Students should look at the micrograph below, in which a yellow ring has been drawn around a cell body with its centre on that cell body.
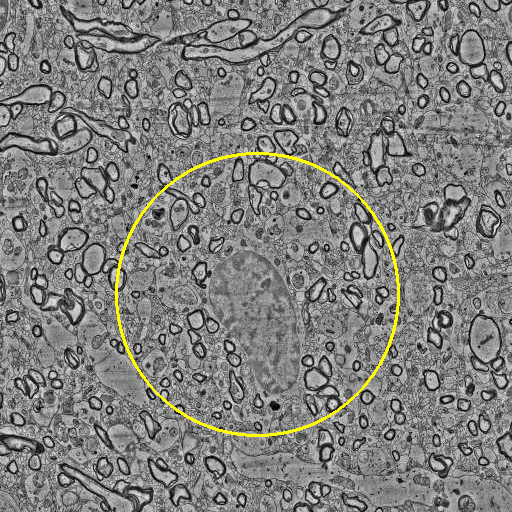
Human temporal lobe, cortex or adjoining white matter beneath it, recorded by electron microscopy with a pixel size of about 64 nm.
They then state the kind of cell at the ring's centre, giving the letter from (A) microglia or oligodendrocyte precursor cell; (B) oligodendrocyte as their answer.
B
